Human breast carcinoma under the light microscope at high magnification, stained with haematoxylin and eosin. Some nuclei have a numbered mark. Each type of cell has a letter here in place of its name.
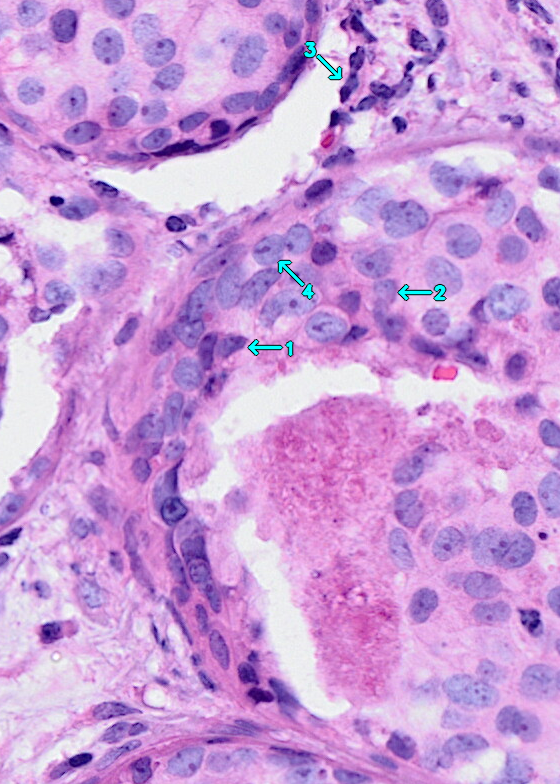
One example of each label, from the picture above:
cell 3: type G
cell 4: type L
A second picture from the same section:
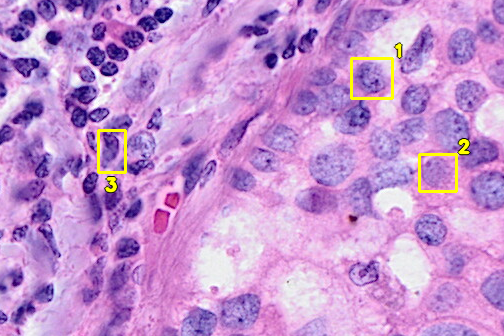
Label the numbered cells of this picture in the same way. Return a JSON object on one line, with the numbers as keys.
{"1": "type L", "2": "type L", "3": "type G"}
